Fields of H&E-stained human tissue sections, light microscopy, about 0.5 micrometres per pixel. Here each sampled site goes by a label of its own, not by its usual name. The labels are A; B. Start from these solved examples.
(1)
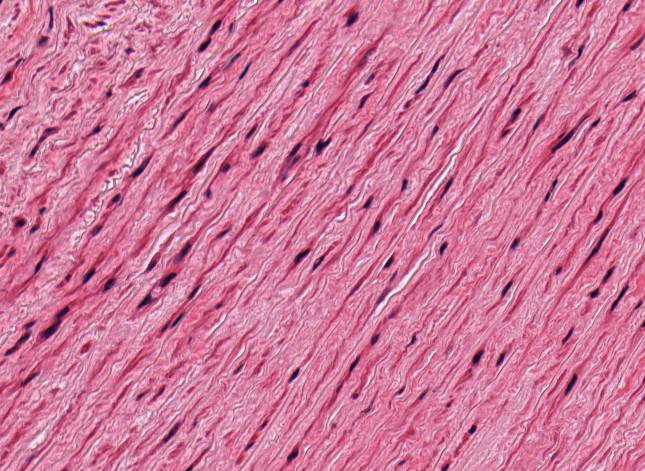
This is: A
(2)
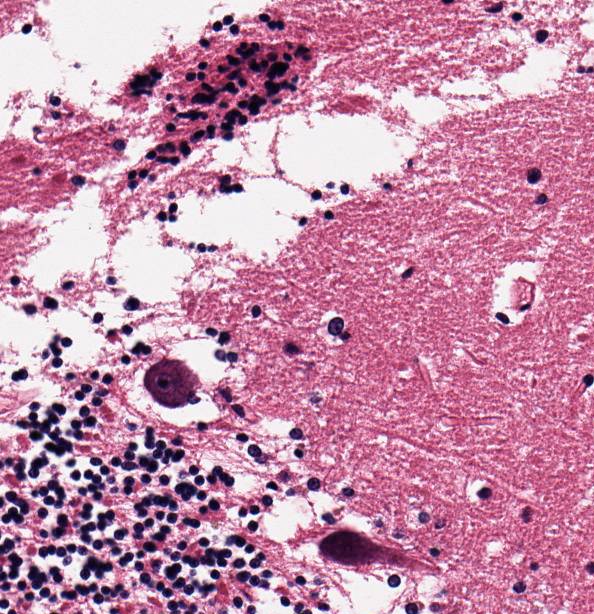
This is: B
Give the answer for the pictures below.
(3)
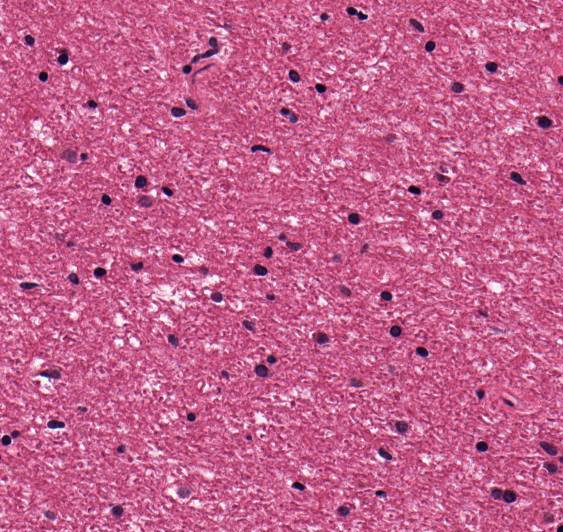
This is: B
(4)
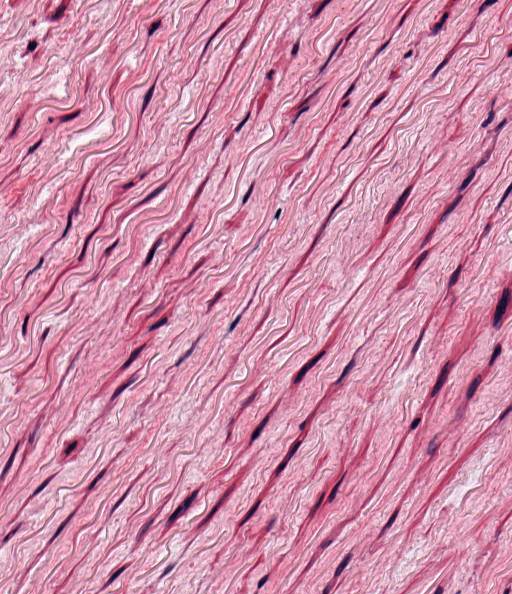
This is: A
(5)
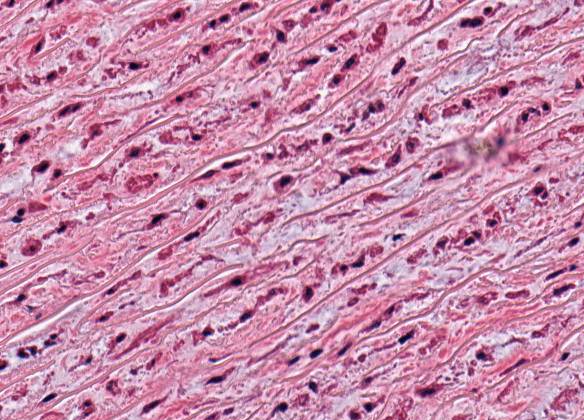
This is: A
